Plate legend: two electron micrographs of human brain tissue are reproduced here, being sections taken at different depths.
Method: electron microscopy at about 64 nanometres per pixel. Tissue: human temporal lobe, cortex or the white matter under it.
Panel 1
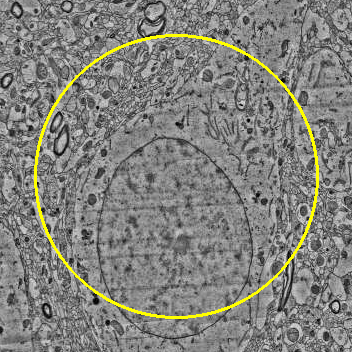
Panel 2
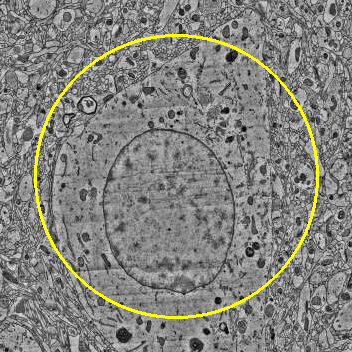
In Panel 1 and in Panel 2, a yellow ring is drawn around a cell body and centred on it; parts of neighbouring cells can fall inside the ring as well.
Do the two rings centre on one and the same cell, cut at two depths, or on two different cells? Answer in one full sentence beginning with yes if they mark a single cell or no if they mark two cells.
No, one ring and the other ring mark two distinct cells.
